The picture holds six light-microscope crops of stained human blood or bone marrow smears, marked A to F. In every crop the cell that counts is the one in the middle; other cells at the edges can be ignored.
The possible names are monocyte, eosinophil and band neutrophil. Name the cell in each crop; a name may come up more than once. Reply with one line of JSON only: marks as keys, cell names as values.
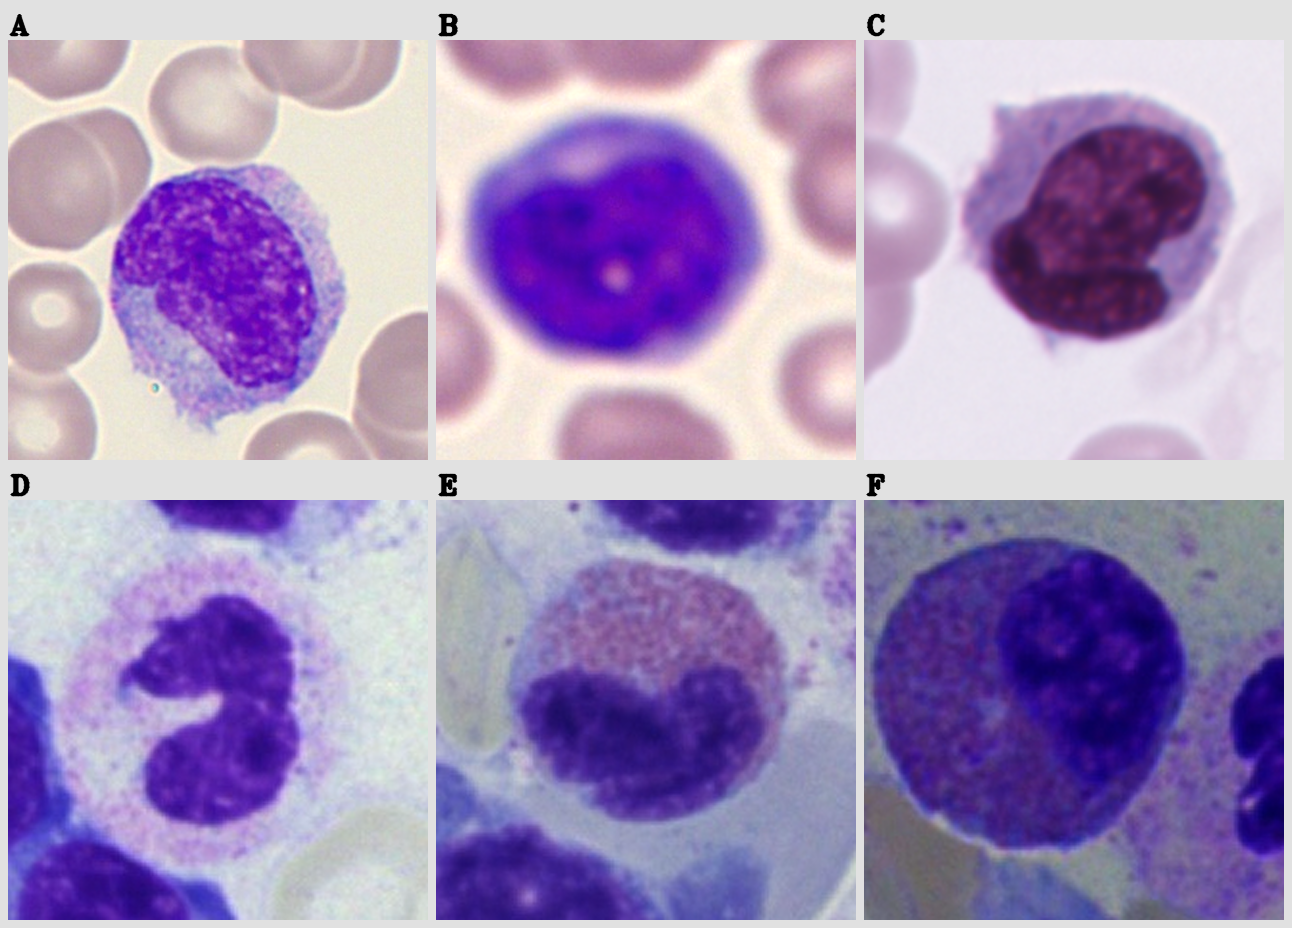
{"A": "monocyte", "B": "monocyte", "C": "monocyte", "D": "band neutrophil", "E": "eosinophil", "F": "eosinophil"}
